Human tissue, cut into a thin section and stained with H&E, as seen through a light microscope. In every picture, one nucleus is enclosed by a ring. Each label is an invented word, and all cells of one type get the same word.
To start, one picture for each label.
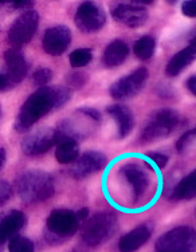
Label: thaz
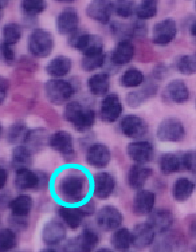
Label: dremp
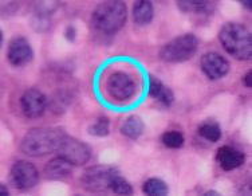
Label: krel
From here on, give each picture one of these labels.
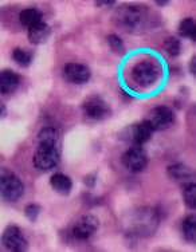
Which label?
krel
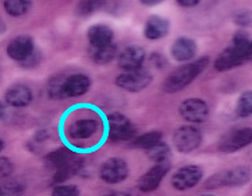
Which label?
krel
